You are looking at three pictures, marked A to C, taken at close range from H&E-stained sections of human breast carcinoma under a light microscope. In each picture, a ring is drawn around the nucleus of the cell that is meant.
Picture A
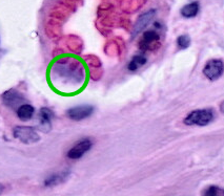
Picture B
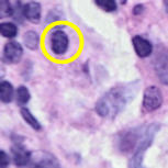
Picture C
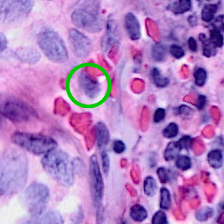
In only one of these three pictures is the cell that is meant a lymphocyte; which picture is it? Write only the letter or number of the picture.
B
